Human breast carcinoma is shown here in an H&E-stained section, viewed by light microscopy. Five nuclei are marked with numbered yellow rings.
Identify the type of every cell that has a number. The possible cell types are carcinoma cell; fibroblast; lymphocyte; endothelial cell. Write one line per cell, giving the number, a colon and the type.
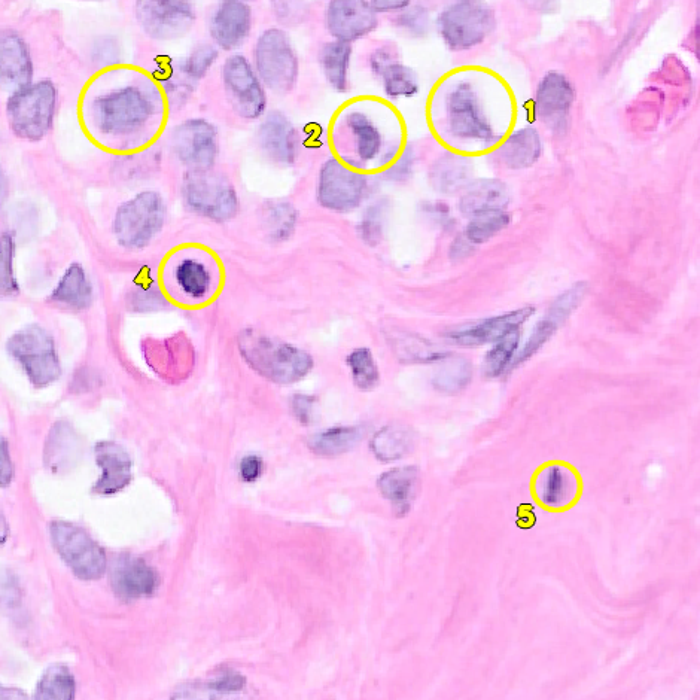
1: carcinoma cell
2: carcinoma cell
3: carcinoma cell
4: lymphocyte
5: fibroblast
